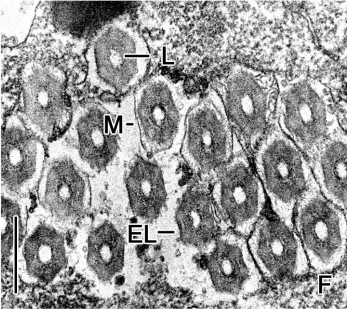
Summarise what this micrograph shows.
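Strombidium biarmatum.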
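A cluster of trichites is cut across, appearing as many closely packed round to polygonal profiles. Each profile has a dense outer wall and a small pale central lumen. A thin dense layer surrounds each rod, and each lies in its own membrane-bound compartment separated from its neighbours by pale space. The profiles are of similar size and are grouped in a tight array within granular cytoplasm.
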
